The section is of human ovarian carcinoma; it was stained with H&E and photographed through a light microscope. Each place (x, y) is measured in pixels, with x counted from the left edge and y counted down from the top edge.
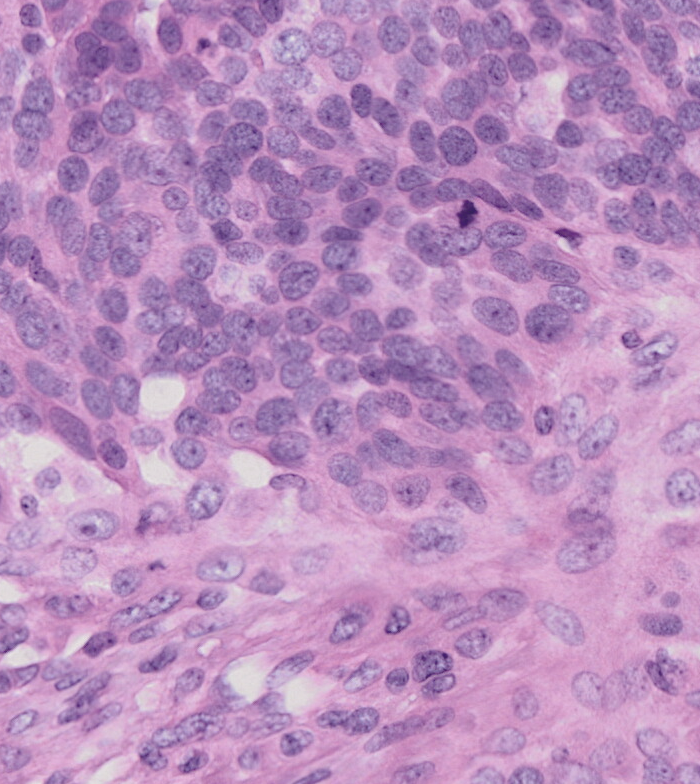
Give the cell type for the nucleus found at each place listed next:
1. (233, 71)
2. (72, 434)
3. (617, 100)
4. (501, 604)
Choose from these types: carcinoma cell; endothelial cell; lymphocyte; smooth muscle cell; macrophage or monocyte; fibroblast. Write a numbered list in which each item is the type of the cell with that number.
1. carcinoma cell
2. carcinoma cell
3. carcinoma cell
4. fibroblast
